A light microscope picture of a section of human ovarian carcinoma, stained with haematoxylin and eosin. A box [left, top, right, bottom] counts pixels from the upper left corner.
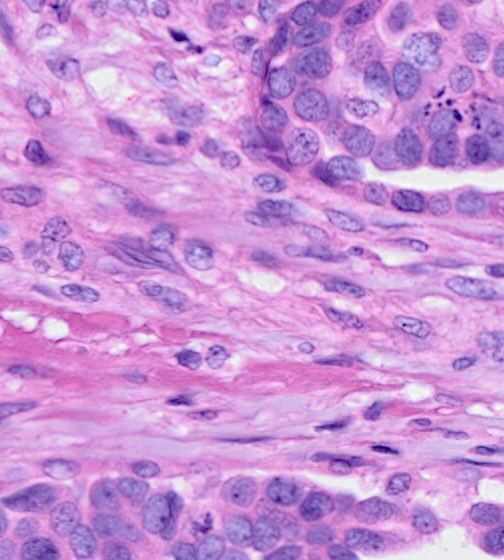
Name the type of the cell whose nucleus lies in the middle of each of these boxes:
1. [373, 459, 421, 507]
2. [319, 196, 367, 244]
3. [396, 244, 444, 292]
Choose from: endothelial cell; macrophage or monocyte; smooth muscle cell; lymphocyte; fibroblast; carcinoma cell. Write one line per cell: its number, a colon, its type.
1: macrophage or monocyte
2: fibroblast
3: fibroblast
